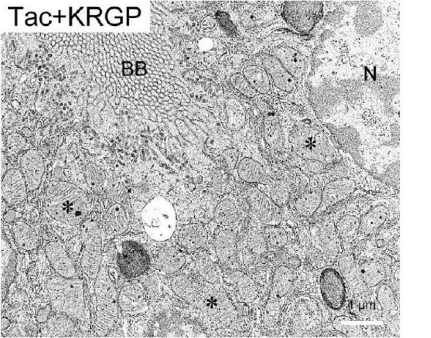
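This electron micrograph shows proximal tubule epithelium with a brush border and many mitochondria. The brush border at the top is made of tightly packed microvilli cut in cross-section, appearing as a honeycomb of small circles. Below it the cytoplasm is filled with oval and elongated mitochondria showing cristae, with a nucleus at the upper right. A few dark dense bodies and a clear vacuole lie among the mitochondria.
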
